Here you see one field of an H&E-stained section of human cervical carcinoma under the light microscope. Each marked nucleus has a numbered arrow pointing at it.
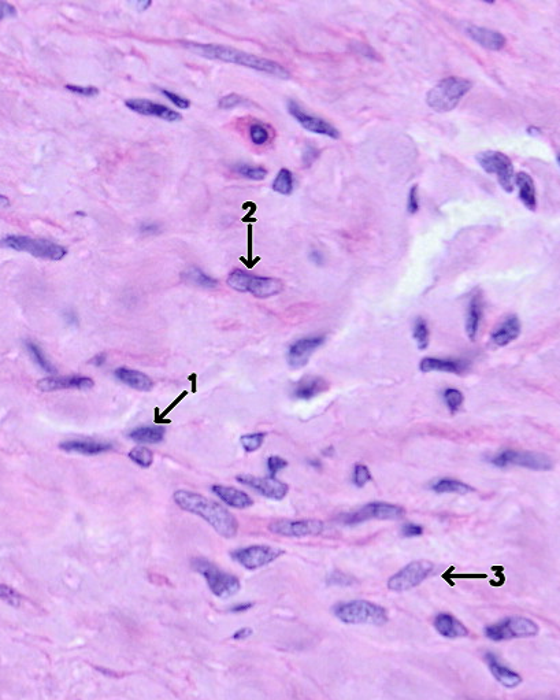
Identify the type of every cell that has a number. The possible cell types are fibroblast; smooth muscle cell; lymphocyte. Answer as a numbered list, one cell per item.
1. fibroblast
2. smooth muscle cell
3. smooth muscle cell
